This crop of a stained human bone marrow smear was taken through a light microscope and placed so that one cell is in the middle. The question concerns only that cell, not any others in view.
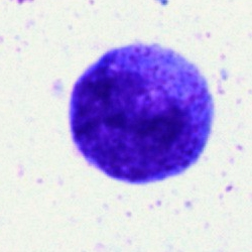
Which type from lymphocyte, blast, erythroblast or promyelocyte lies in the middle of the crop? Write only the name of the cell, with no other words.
promyelocyte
